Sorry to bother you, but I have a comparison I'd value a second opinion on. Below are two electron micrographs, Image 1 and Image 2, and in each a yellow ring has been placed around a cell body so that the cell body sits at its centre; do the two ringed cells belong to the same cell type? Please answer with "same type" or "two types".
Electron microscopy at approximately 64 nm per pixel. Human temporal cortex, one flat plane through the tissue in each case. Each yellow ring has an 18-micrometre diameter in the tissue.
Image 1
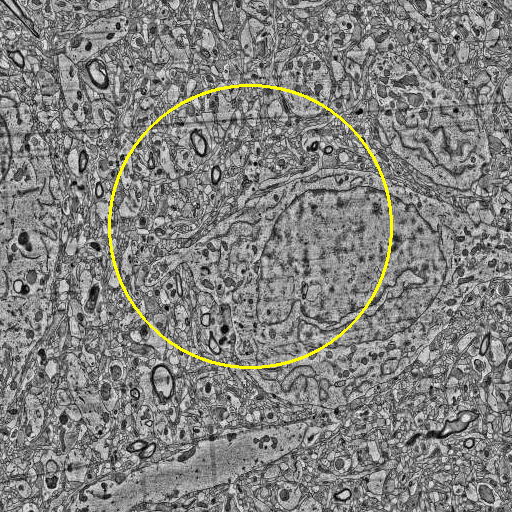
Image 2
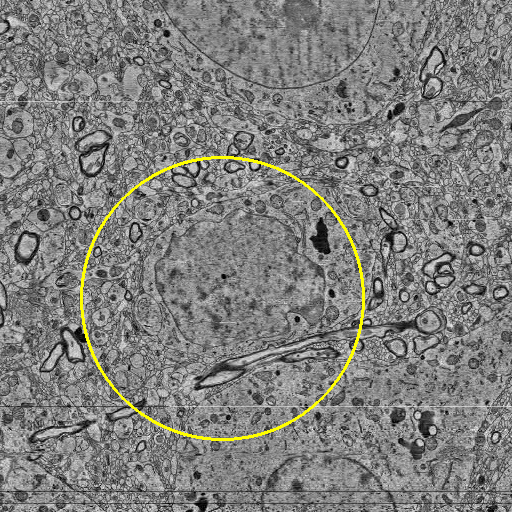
two types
